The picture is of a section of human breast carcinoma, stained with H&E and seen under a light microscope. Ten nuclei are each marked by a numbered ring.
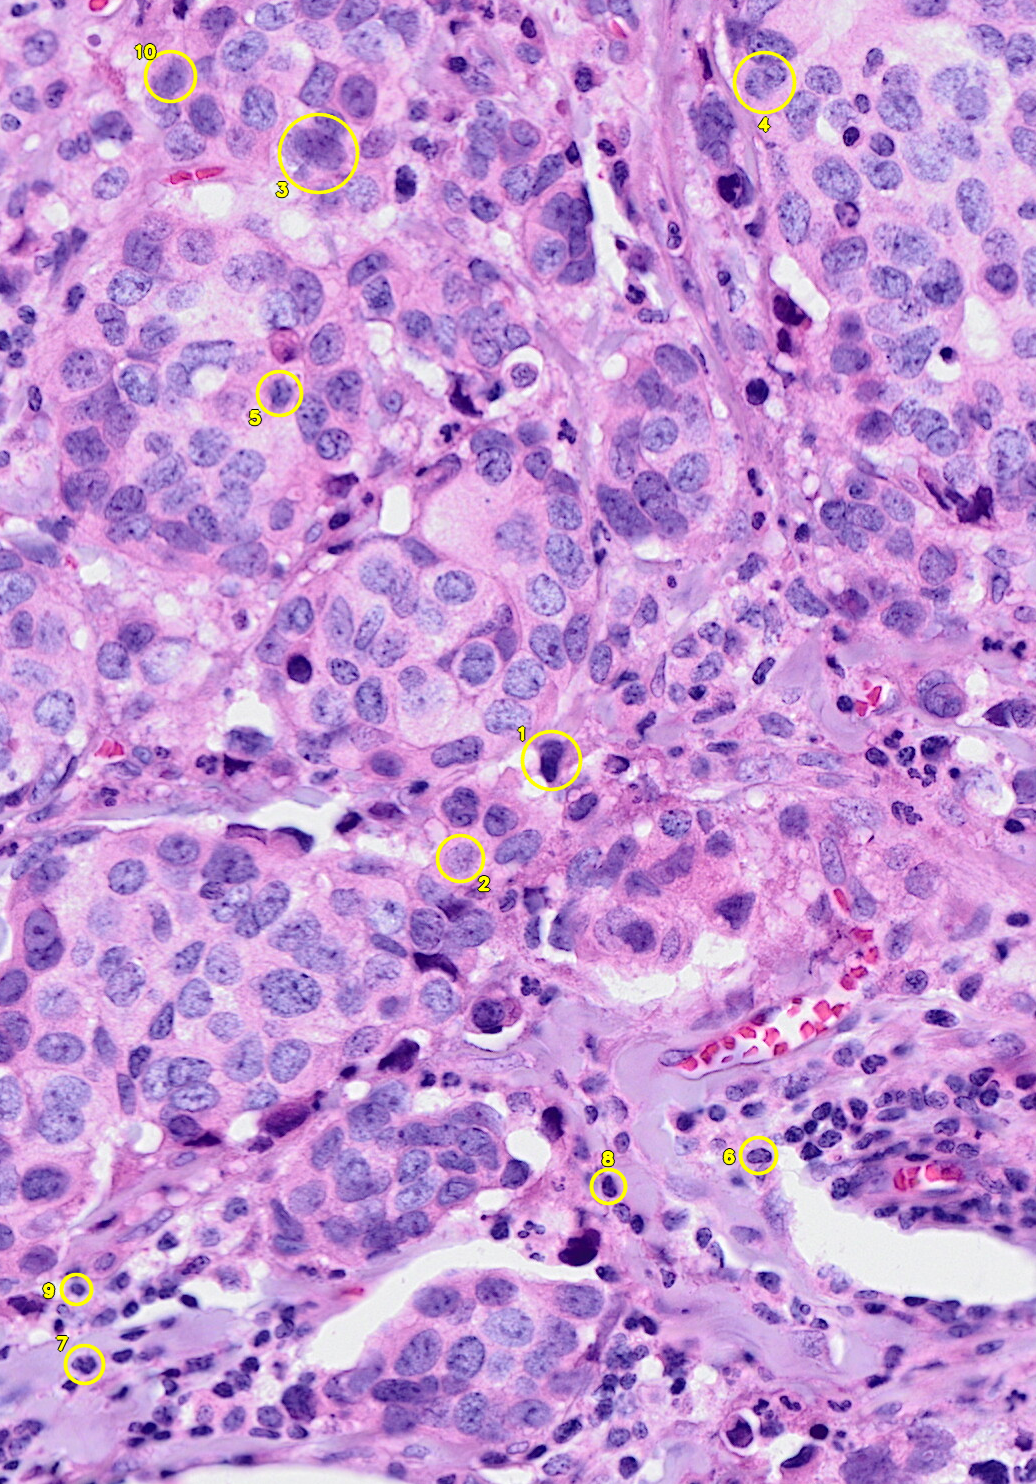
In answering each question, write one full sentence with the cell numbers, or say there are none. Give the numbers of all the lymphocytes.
The numbers 6, 7, 8 and 9 mark cells that are lymphocytes.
